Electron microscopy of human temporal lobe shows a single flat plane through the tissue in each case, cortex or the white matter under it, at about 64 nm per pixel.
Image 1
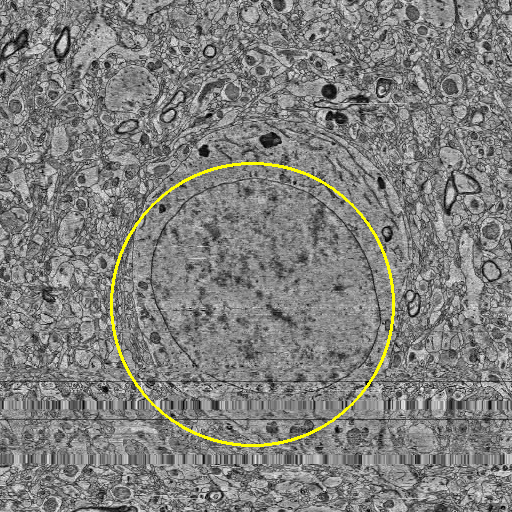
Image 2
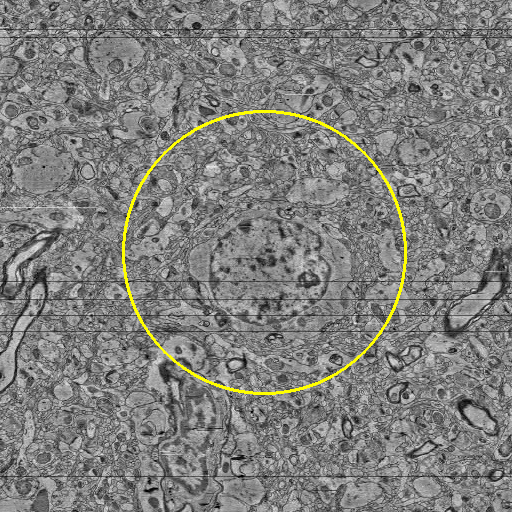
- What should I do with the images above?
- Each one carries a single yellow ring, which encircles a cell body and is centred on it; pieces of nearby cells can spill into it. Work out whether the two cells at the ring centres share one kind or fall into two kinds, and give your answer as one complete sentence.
The ring-centre cells of Image 1 and Image 2 fall into two kinds.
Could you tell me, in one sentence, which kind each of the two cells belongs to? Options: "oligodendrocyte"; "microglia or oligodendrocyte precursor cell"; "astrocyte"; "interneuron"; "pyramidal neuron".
At the centre of the first ring sits a pyramidal neuron, and at the centre of the second sits a microglial cell or oligodendrocyte precursor cell.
